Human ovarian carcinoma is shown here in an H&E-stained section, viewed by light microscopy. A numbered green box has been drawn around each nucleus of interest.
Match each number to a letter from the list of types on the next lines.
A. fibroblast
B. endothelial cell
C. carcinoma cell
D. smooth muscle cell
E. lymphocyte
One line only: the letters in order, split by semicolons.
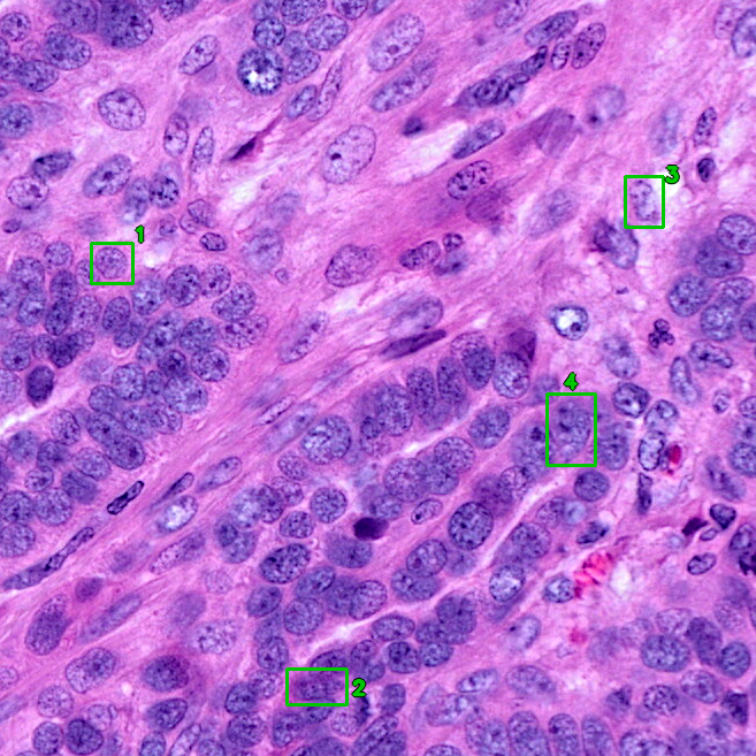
C; C; A; C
